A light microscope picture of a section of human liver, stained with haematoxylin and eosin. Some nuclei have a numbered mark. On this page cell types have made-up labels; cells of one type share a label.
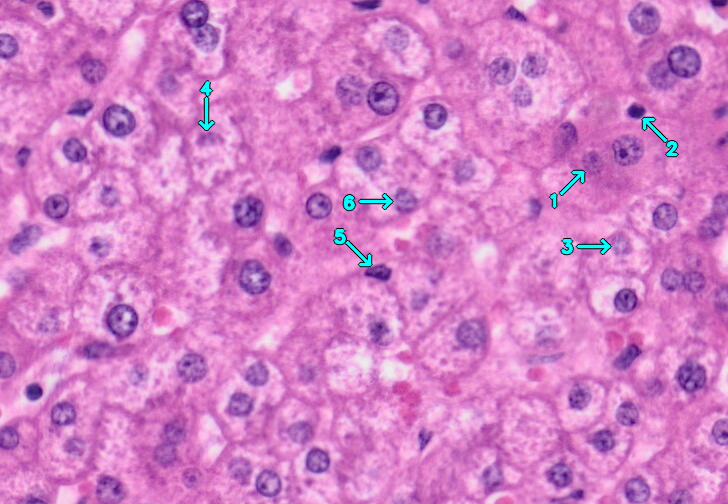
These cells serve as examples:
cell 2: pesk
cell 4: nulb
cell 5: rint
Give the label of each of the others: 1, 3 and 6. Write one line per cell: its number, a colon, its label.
1: nulb
3: nulb
6: nulb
